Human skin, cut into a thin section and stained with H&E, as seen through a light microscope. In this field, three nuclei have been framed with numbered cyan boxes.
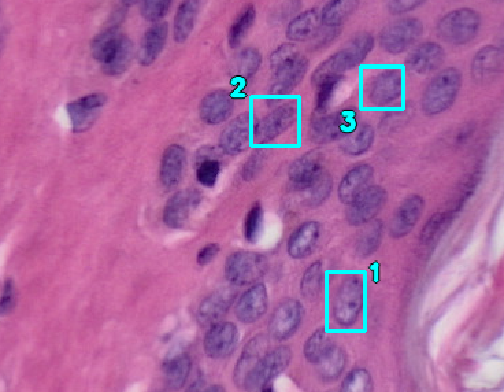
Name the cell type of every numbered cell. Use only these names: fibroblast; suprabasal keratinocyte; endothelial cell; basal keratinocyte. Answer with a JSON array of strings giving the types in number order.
["suprabasal keratinocyte", "basal keratinocyte", "suprabasal keratinocyte"]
